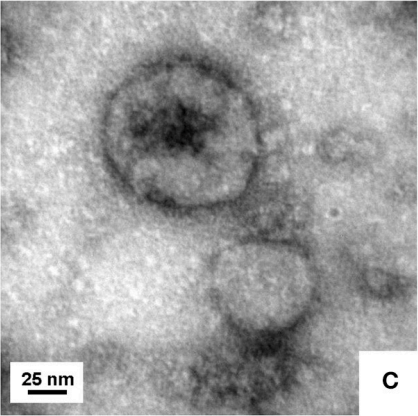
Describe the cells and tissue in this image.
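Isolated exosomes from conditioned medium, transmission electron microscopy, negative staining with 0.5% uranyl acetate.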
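In the upper left lies a round vesicle outlined by a dark, well-defined membrane rim, with a darker irregular interior. Below and to the right a second, paler round vesicle is seen with a fainter edge. The background is finely granular grey with darker stain accumulating near the vesicles. No cells or nuclei are present; the vesicles are free membrane-bound particles.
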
